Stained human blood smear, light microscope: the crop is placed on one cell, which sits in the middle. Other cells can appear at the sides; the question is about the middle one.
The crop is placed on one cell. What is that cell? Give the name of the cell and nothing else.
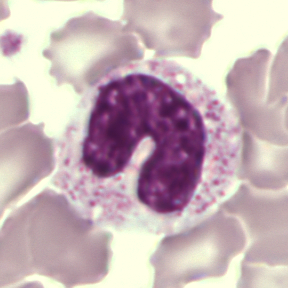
band neutrophil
